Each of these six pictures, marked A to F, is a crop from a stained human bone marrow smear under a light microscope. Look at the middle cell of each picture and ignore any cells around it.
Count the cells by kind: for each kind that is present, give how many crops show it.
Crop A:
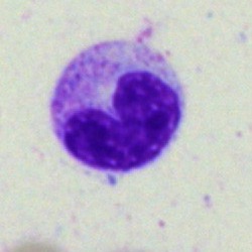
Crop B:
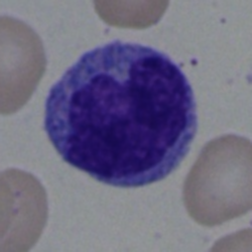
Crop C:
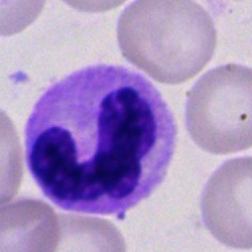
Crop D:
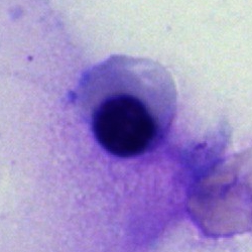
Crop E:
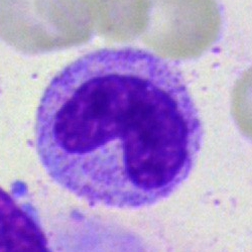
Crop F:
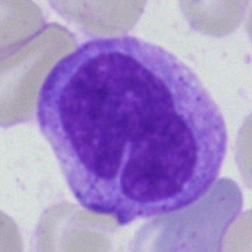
band neutrophil: 3
monocyte: 2
erythroblast: 1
